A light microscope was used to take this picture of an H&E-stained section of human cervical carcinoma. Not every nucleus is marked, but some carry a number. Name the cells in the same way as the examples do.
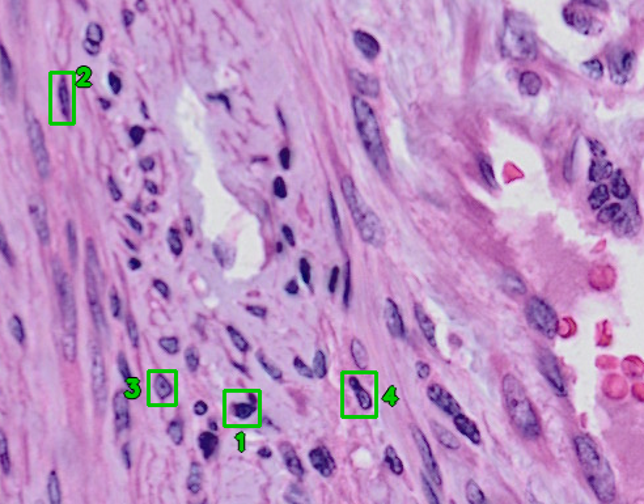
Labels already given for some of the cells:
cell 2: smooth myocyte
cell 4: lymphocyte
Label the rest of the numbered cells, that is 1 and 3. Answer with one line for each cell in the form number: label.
1: lymphocyte
3: smooth myocyte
